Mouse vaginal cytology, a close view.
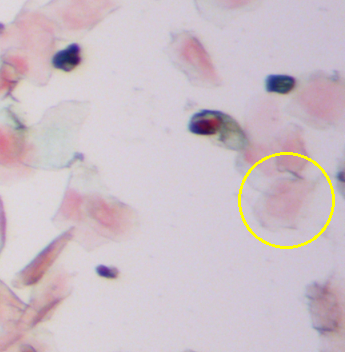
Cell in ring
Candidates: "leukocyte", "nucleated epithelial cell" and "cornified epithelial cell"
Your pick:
cornified epithelial cell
